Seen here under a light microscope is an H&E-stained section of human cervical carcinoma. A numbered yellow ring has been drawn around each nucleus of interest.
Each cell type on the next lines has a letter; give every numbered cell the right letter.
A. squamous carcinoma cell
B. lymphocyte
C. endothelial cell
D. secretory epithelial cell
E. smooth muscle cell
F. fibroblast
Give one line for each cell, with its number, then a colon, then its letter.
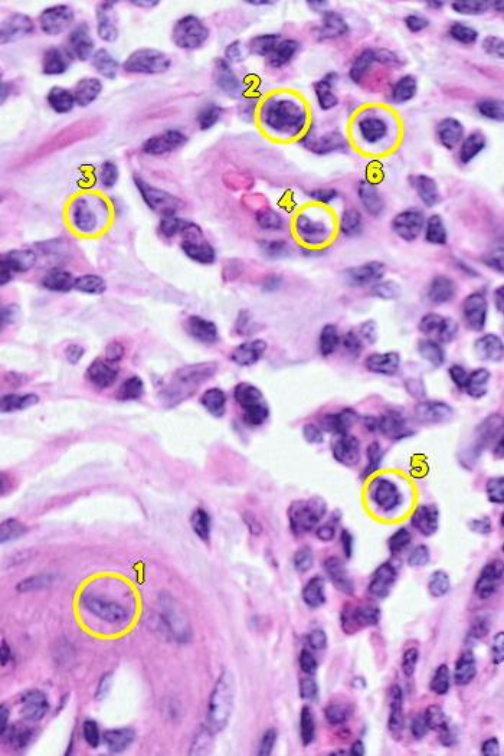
1: E
2: B
3: B
4: C
5: B
6: B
